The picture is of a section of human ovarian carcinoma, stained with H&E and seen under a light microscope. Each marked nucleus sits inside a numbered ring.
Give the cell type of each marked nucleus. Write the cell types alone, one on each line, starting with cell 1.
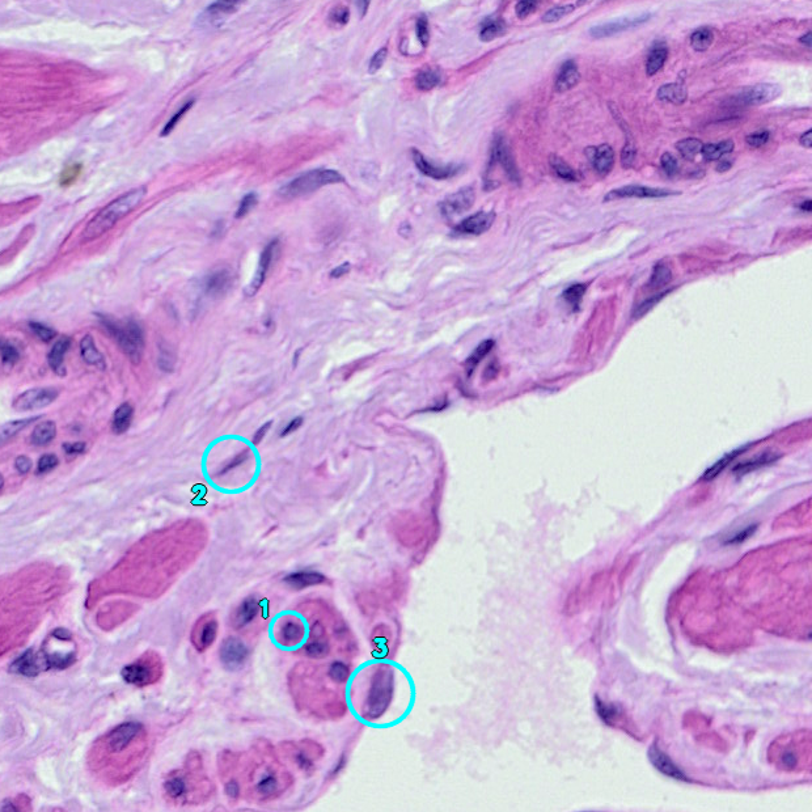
smooth muscle cell
fibroblast
endothelial cell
